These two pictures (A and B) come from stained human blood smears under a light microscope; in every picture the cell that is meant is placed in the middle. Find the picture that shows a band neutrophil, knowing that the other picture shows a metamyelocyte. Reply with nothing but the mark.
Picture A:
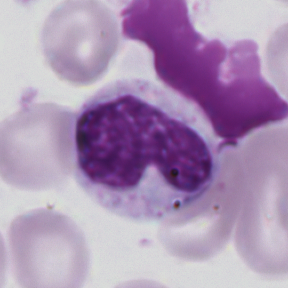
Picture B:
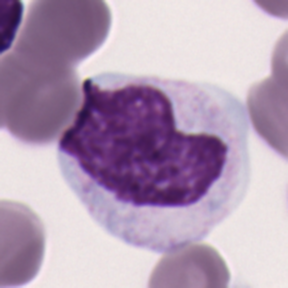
A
